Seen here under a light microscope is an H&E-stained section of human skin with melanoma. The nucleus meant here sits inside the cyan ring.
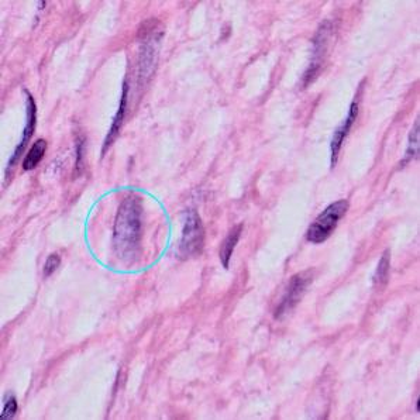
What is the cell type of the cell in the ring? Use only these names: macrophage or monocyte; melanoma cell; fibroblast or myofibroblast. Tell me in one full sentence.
Within this tissue, the cell in the ring is a fibroblast or myofibroblast.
